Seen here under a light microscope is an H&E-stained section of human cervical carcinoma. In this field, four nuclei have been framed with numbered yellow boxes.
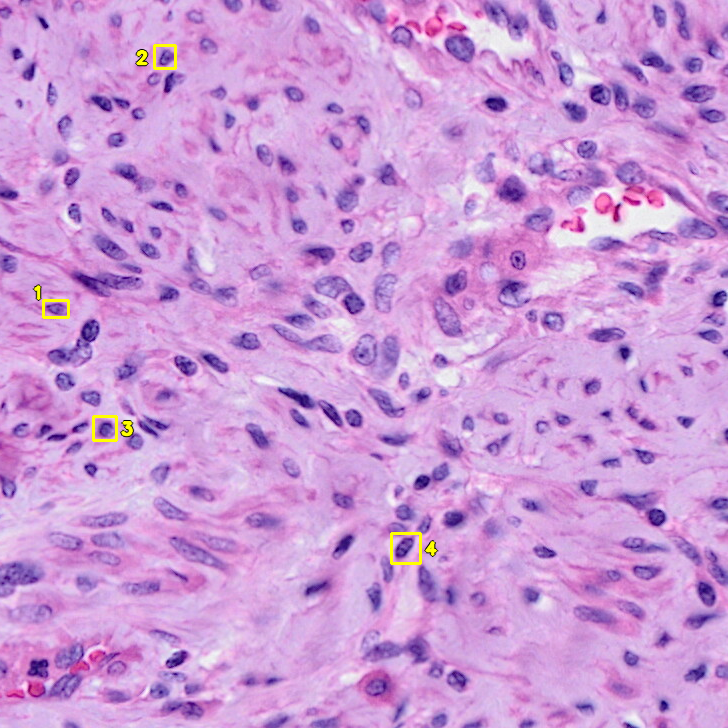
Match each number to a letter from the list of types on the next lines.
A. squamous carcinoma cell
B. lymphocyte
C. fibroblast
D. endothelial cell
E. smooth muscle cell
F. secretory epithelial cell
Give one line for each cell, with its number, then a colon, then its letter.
1: E
2: E
3: E
4: B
